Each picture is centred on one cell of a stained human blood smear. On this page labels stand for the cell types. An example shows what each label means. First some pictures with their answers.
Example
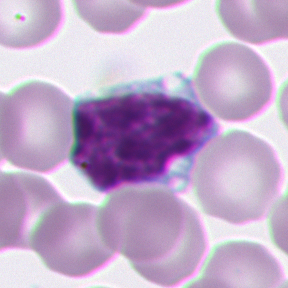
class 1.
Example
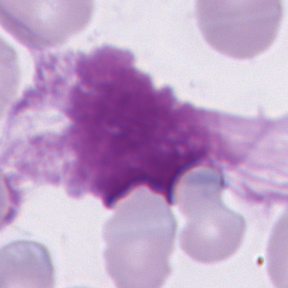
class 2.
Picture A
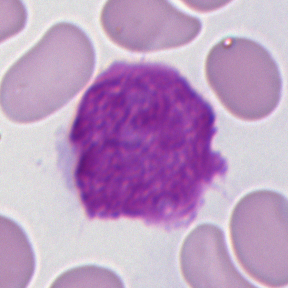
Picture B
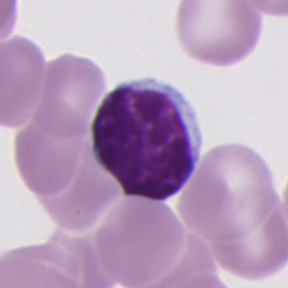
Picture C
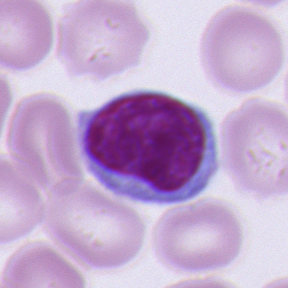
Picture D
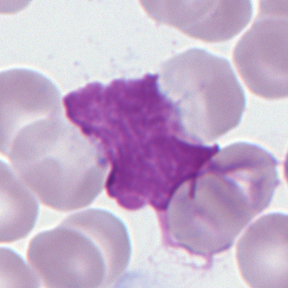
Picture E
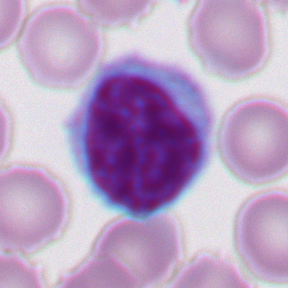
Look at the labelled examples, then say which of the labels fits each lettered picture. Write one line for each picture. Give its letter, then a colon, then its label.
A: class 2.
B: class 1.
C: class 1.
D: class 2.
E: class 1.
